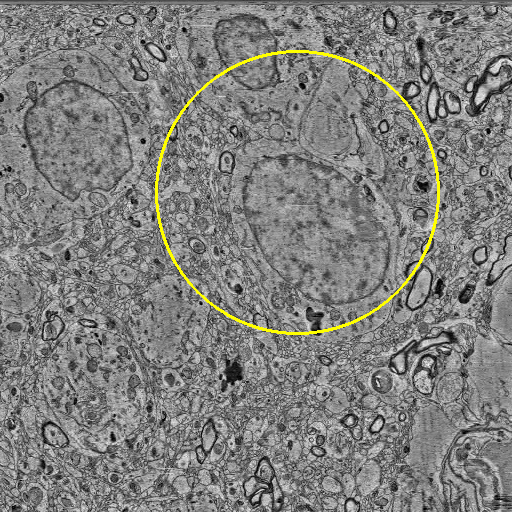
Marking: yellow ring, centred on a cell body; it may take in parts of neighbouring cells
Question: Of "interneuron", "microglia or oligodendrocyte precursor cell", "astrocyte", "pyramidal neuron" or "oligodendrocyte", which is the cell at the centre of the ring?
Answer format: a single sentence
The ring surrounds the body of an interneuron.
